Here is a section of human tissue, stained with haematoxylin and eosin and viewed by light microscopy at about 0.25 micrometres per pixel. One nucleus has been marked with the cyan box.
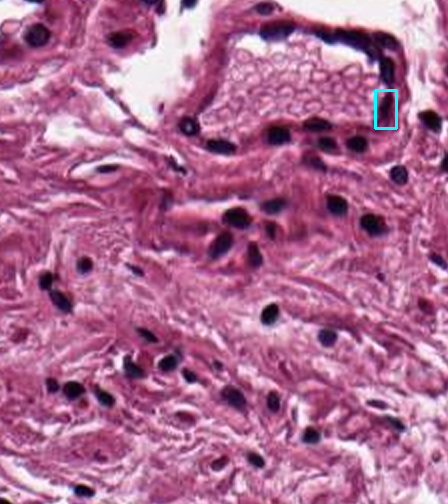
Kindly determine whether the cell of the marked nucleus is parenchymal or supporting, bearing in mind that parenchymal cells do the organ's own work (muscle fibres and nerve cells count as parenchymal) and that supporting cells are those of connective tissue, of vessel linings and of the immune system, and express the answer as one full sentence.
In this field, the marked nucleus is the nucleus of a supporting cell.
